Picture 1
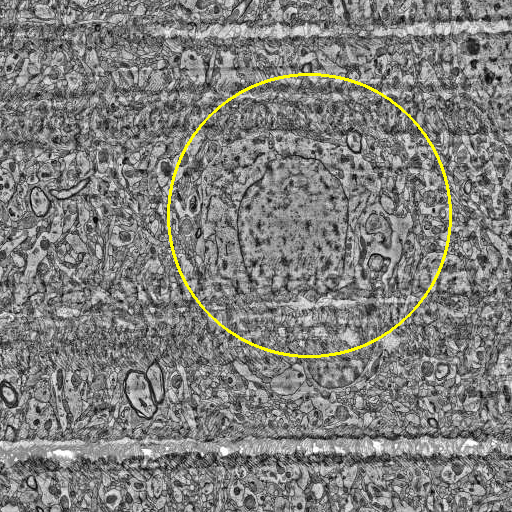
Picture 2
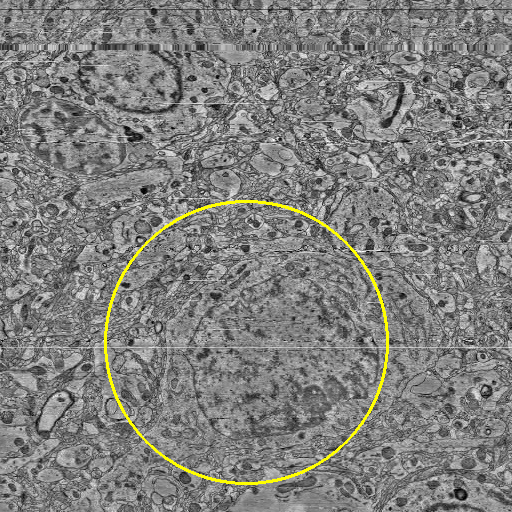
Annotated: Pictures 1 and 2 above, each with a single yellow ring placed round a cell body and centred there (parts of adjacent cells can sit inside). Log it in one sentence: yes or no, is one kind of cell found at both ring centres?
No, the ring centres of the two pictures hold cells of two kinds.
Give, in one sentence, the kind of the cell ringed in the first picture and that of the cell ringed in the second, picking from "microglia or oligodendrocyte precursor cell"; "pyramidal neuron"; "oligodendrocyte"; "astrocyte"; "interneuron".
For the first picture it is a pyramidal neuron; for the second, an interneuron.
